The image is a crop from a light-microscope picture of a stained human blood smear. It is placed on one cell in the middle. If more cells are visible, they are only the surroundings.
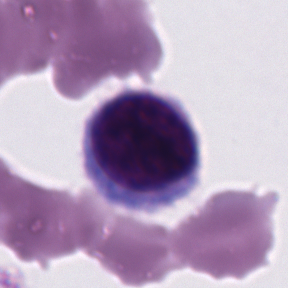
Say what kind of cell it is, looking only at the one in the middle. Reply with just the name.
hairy cell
